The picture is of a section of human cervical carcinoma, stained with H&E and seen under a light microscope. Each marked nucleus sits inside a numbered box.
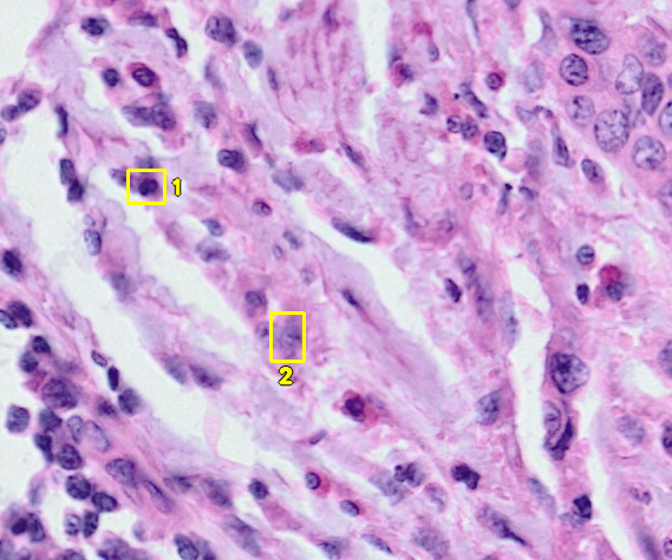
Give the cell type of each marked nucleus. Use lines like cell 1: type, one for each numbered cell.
cell 1: lymphocyte
cell 2: endothelial cell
